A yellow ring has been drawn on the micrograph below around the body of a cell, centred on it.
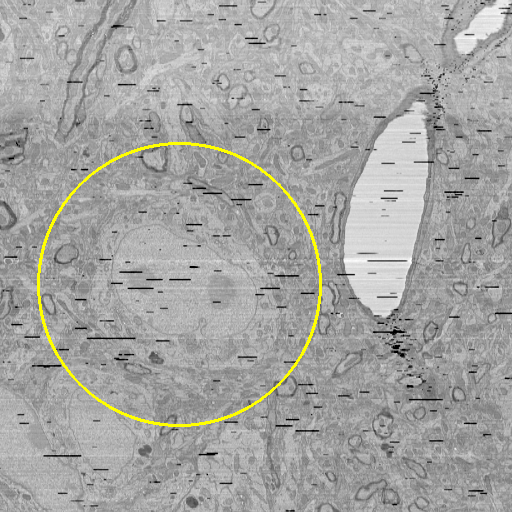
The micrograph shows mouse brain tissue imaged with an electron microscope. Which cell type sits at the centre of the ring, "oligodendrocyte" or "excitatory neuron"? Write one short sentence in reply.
The cell sitting at the centre of the ring is an excitatory neuron.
